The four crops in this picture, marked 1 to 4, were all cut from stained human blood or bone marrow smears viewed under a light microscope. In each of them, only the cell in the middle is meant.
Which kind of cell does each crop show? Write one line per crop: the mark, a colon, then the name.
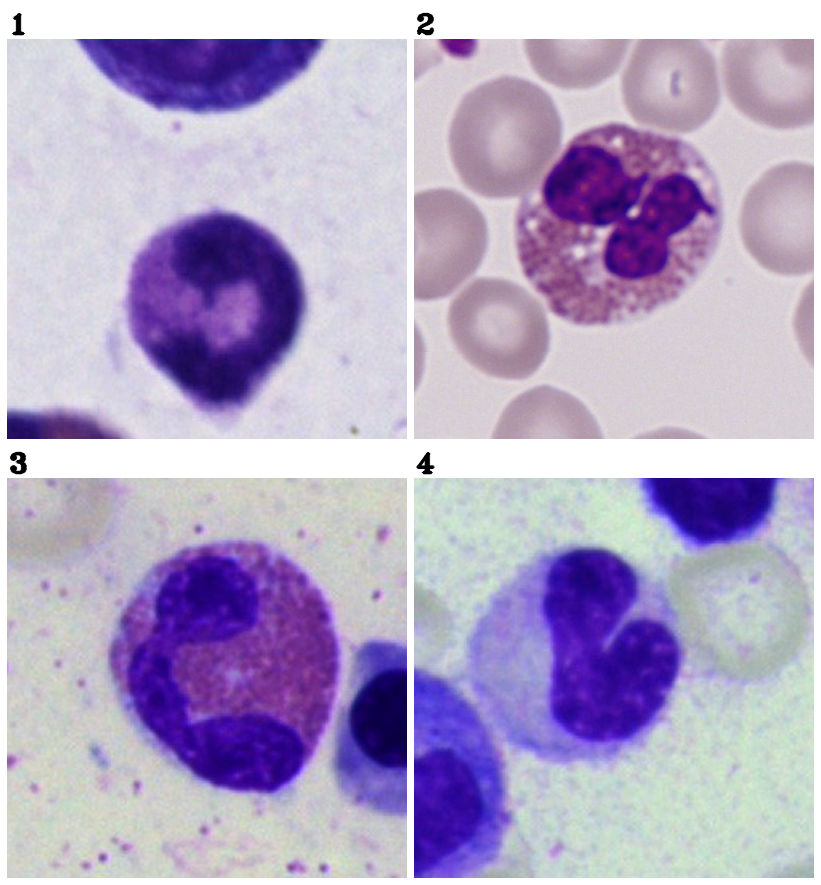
1: band neutrophil
2: eosinophil
3: eosinophil
4: band neutrophil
